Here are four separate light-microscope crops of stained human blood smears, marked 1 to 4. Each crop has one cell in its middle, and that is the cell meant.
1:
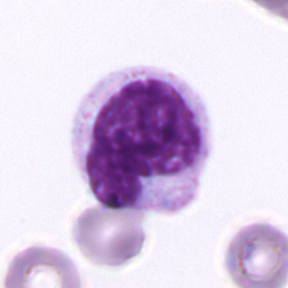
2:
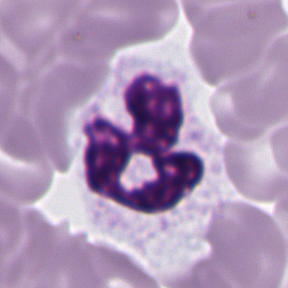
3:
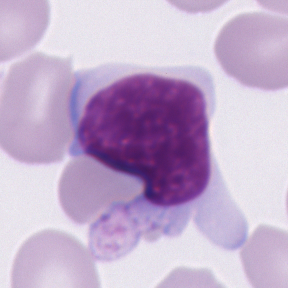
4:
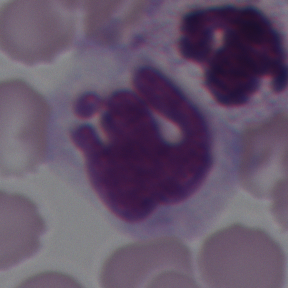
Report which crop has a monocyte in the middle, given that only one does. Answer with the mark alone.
4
